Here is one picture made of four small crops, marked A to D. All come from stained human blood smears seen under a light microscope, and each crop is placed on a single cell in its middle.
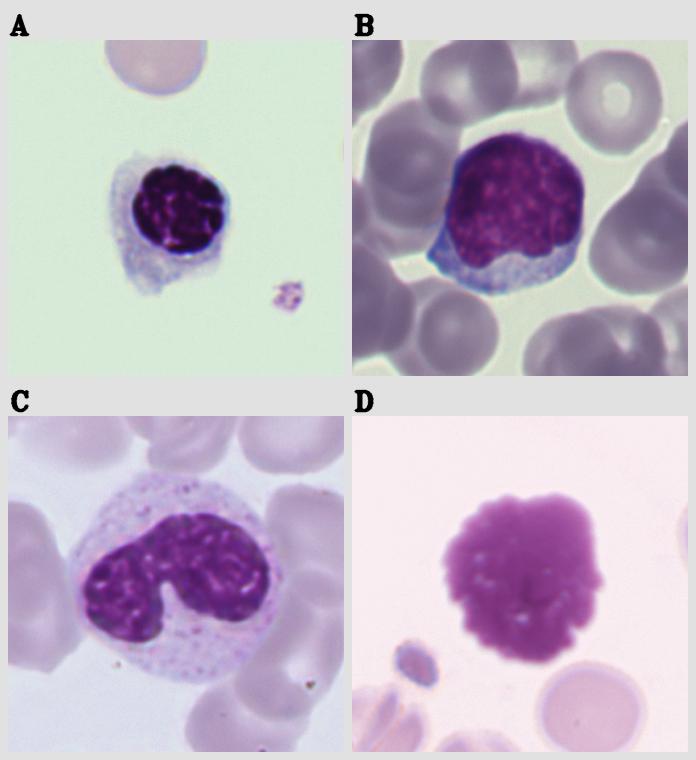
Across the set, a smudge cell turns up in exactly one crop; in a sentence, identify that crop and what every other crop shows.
As for the set, crop D shows a smudge cell, while crop A is a normoblast, crop B is a typical lymphocyte and crop C is a band neutrophil.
